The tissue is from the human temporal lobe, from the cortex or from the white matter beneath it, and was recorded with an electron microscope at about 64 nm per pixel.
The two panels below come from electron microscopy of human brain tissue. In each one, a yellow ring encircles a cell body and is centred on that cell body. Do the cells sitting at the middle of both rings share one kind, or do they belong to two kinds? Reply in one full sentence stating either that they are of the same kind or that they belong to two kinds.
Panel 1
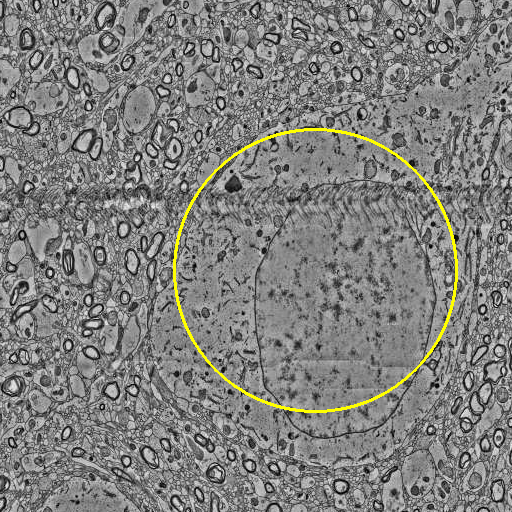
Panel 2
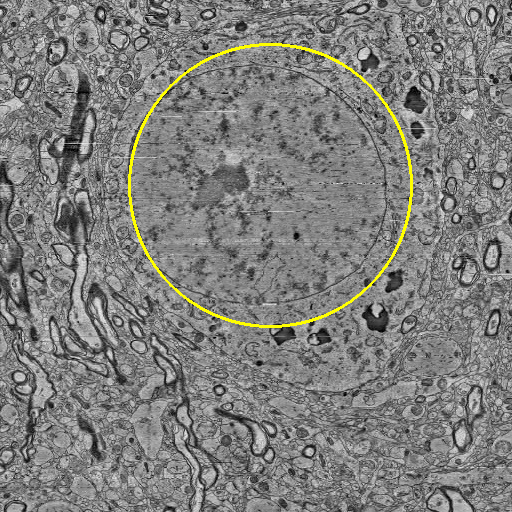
The cells at the centres of the two rings are of the same kind.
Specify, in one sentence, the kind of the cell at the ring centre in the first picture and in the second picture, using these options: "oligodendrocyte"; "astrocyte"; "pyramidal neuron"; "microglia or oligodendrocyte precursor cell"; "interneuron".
In each of the two pictures, the ringed cell is a pyramidal neuron.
